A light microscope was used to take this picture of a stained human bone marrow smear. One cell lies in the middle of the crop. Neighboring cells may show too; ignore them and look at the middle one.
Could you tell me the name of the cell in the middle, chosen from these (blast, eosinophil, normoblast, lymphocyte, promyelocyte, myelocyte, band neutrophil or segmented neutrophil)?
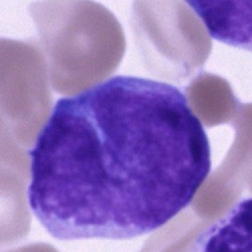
blast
